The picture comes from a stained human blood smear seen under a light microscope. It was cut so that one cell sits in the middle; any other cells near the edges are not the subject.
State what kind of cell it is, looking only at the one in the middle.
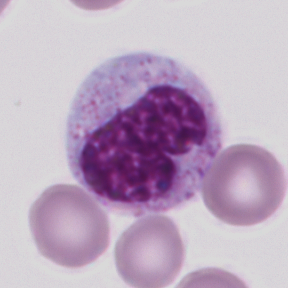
band neutrophil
